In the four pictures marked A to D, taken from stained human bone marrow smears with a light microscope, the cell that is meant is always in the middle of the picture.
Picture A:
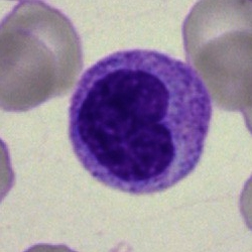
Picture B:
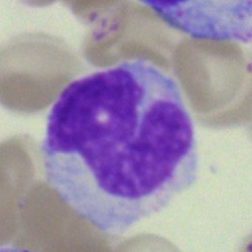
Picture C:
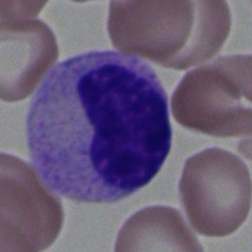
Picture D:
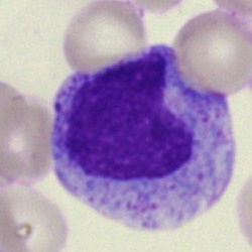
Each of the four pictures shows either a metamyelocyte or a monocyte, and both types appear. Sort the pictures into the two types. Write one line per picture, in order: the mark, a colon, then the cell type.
A: metamyelocyte
B: monocyte
C: metamyelocyte
D: metamyelocyte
